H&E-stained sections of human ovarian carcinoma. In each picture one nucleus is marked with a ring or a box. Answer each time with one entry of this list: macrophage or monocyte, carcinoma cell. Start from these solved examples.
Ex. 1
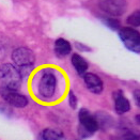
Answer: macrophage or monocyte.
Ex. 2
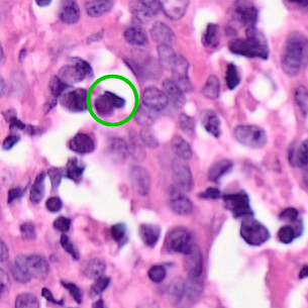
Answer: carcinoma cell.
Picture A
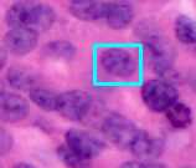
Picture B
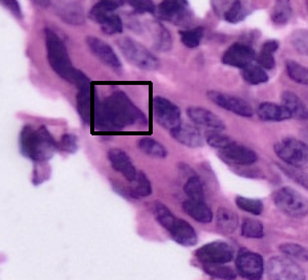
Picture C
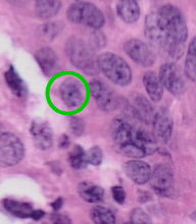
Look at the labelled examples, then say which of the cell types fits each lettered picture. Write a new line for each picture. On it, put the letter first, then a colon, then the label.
A: carcinoma cell.
B: carcinoma cell.
C: macrophage or monocyte.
